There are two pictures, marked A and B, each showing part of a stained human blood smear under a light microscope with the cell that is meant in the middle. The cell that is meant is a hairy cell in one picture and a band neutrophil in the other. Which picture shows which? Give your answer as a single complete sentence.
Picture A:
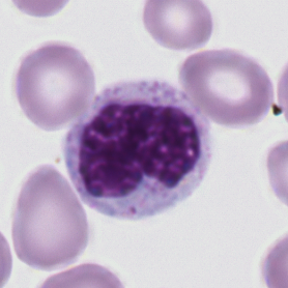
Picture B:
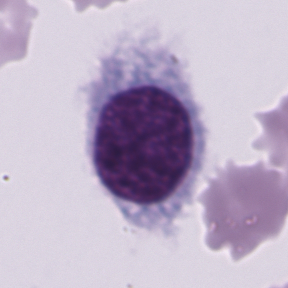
Picture A shows a band neutrophil and picture B shows a hairy cell.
